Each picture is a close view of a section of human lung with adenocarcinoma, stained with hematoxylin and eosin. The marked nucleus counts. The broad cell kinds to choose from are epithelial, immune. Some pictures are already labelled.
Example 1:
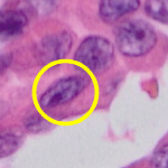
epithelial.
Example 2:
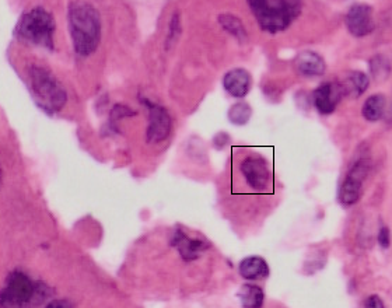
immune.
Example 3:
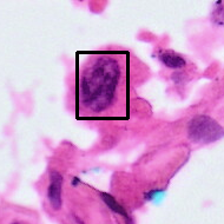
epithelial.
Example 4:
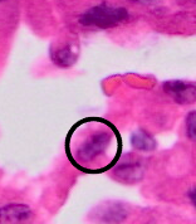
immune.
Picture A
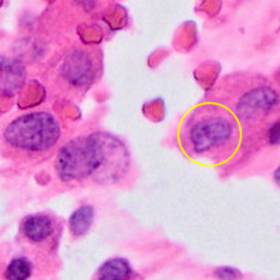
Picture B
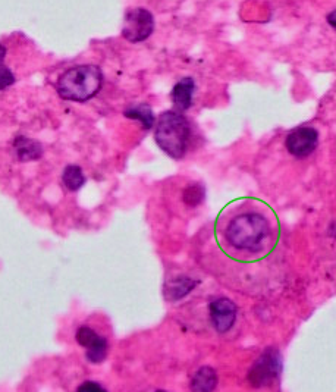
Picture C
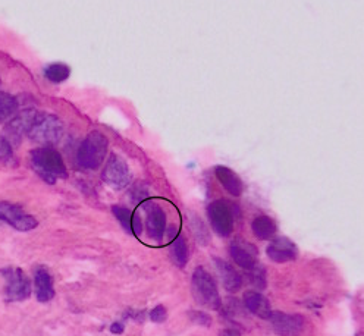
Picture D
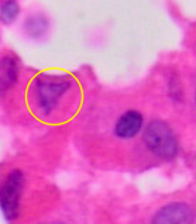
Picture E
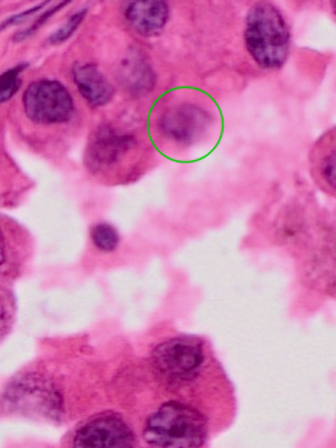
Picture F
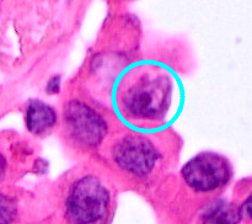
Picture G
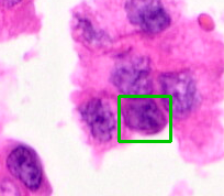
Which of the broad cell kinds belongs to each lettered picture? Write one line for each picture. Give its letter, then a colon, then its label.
A: immune.
B: immune.
C: epithelial.
D: immune.
E: epithelial.
F: epithelial.
G: epithelial.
